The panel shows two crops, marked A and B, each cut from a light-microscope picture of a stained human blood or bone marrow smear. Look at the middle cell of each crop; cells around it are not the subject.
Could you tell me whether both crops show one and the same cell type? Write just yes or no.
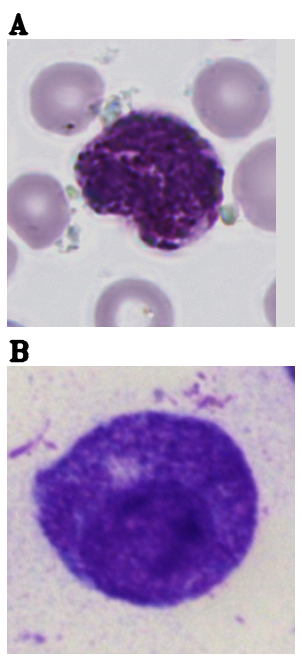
no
